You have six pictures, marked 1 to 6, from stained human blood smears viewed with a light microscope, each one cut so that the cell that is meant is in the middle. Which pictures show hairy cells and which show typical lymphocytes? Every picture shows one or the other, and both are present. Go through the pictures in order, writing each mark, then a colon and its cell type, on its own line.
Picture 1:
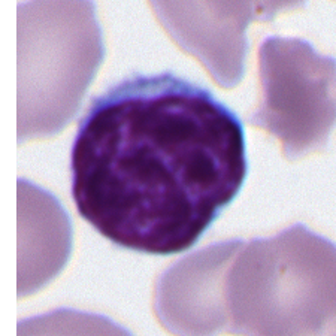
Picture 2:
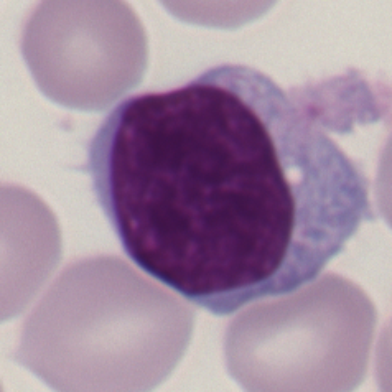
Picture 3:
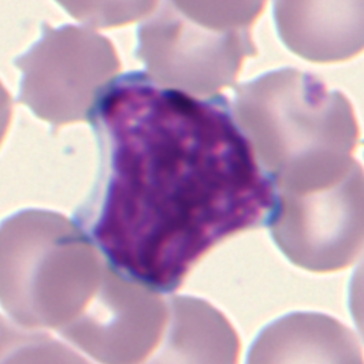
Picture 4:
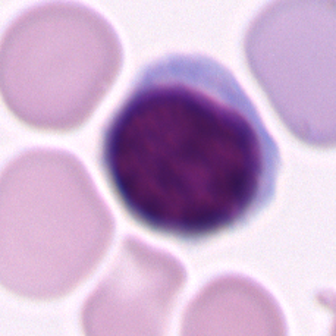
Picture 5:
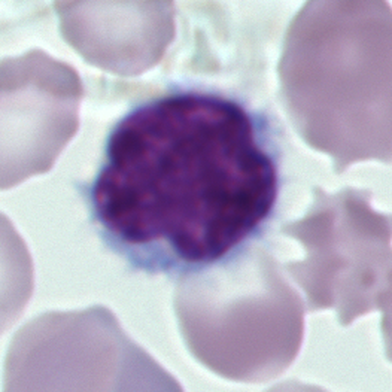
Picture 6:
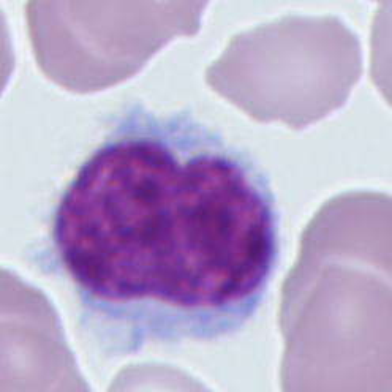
1: typical lymphocyte
2: typical lymphocyte
3: typical lymphocyte
4: typical lymphocyte
5: hairy cell
6: hairy cell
